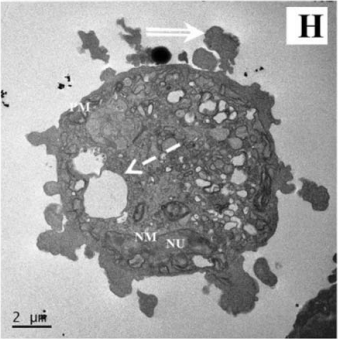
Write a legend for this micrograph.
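The cell is rounded, and its cytoplasm is riddled with numerous clear, empty-looking vacuoles of varied size, one of them notably large on the left side. Around the margin, rounded buds of cytoplasm bulge from the plasma membrane, and several small rounded fragments lie free just outside the cell, as if pinched off. The nucleus is small and sits toward the lower part of the cell, surrounded by the vacuolated cytoplasm, unlike the large central nucleus of a healthy cell.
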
